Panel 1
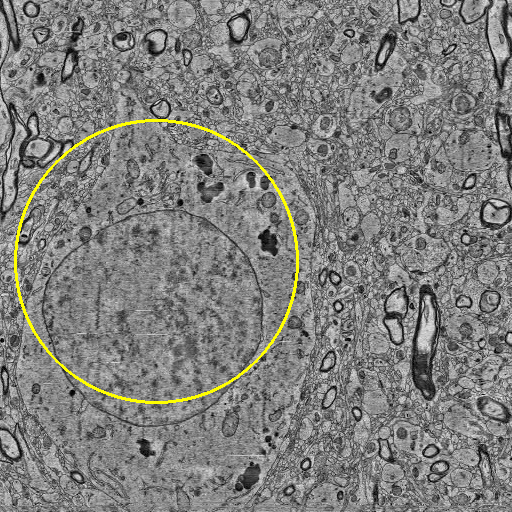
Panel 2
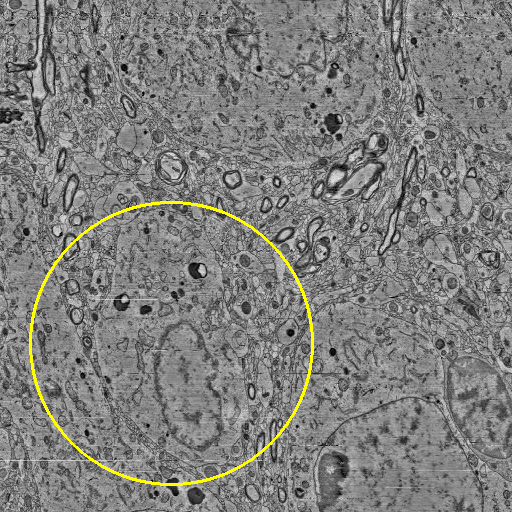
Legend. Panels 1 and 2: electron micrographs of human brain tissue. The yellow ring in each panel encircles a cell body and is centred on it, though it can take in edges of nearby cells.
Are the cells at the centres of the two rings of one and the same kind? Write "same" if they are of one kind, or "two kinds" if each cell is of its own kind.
two kinds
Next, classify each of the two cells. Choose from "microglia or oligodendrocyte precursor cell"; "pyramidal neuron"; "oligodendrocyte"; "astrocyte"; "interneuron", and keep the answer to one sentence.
In the first picture it is a pyramidal neuron; in the second it is an interneuron.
